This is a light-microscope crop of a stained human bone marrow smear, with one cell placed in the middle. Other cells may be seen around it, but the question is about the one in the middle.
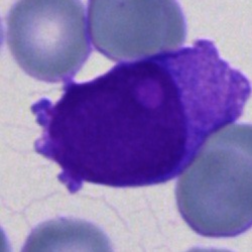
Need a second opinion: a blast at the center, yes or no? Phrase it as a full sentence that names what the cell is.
Yes, what sits in the middle of the crop is a blast.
